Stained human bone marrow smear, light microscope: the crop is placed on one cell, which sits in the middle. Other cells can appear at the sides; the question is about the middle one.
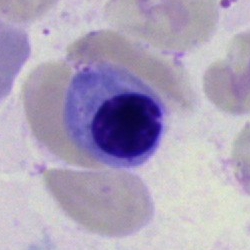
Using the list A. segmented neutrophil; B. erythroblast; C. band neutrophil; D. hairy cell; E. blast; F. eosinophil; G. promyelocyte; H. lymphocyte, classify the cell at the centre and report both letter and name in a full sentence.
That the central cell is an erythroblast makes option B correct.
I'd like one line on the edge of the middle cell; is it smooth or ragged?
Around its whole circumference the outline stays smooth, free of projections.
